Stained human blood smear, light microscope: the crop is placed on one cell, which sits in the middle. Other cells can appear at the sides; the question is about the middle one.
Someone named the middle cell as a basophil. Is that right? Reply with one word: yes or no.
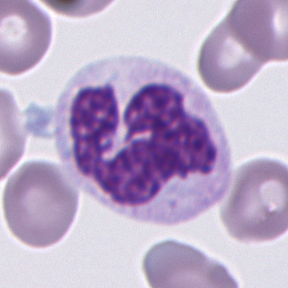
no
